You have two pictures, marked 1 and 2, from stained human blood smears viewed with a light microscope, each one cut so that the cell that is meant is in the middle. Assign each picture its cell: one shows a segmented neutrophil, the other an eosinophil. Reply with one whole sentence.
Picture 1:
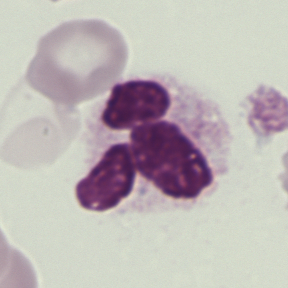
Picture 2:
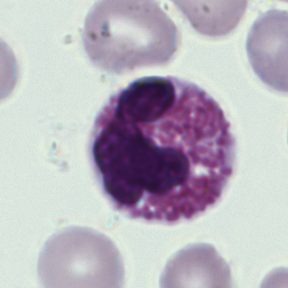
In picture 1 the cell is a segmented neutrophil; in picture 2, an eosinophil.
